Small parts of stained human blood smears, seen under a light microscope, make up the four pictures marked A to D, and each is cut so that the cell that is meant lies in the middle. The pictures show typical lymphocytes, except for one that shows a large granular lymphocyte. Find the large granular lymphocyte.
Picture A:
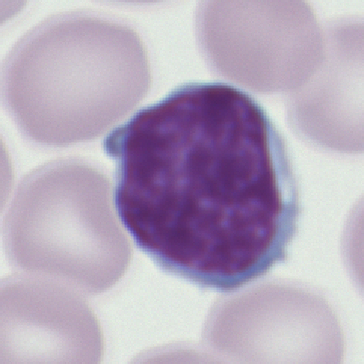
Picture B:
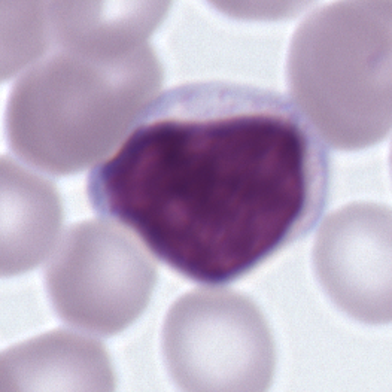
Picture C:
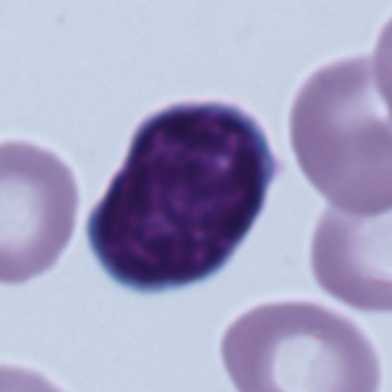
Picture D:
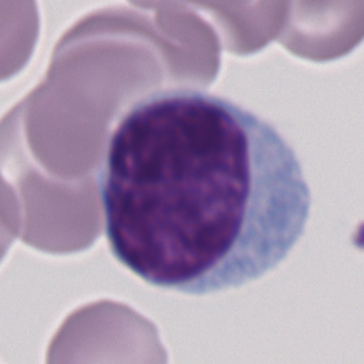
B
